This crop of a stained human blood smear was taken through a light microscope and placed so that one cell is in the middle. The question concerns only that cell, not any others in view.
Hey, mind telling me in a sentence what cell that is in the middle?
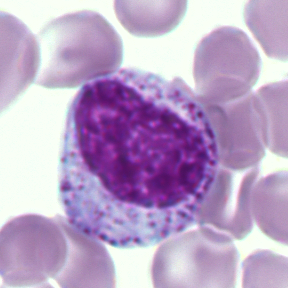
In short, the cell at the center is a myelocyte.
